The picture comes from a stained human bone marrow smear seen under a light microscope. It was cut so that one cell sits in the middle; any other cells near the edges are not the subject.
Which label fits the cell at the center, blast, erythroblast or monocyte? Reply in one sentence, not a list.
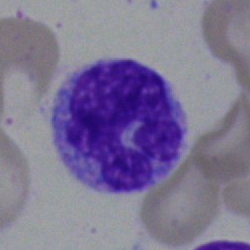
What the crop centres on is a monocyte.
